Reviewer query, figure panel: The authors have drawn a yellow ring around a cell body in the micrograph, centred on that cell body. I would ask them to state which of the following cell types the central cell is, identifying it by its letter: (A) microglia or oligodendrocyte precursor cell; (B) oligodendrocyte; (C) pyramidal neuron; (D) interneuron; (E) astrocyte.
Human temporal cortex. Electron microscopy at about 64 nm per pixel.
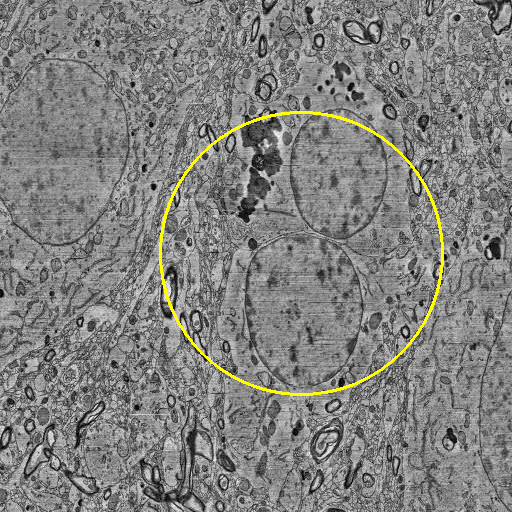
E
